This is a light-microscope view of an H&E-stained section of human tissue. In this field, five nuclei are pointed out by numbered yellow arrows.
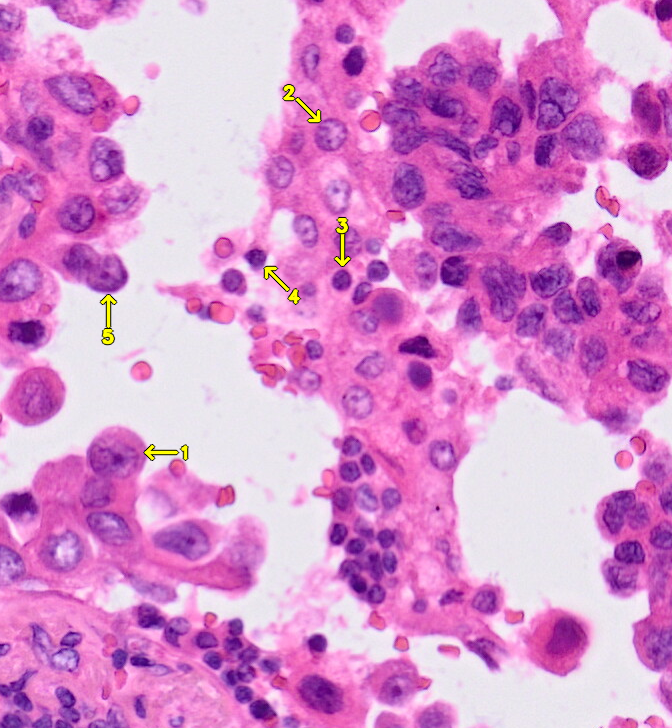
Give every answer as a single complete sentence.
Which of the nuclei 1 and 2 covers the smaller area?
With nucleus 1 about 2.5 times its size, nucleus 2 is the smaller of the two.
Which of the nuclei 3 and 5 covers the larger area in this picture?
It is nucleus 5, which covers about 3 times the area of nucleus 3.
